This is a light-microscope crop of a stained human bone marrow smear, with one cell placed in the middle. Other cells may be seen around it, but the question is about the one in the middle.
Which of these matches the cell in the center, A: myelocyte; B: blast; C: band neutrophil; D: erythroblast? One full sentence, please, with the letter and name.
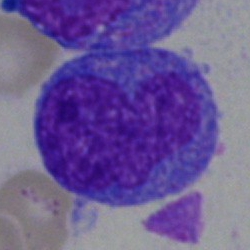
In this crop the middle cell is a blast, so option B is the correct answer.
